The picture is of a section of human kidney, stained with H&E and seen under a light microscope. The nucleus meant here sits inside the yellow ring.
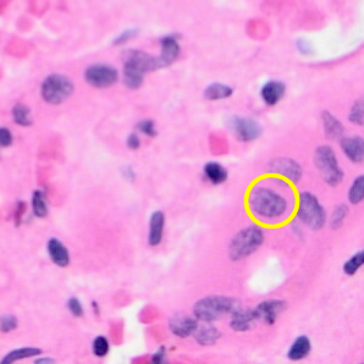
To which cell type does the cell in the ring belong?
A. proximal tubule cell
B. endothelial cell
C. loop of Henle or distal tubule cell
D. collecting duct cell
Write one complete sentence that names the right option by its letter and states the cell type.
Among the choices, option D is correct, the cell in the ring being a collecting duct cell.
